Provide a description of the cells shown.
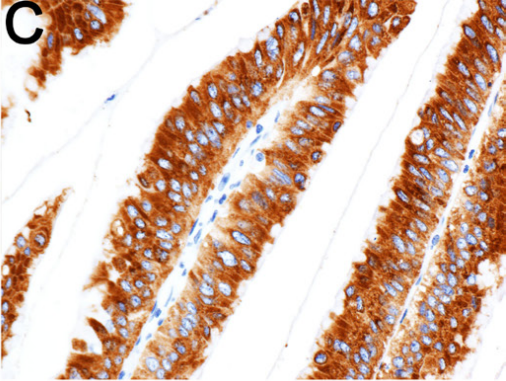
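Tumor cells line elongated papillae with slender stromal cores, as tall columnar cells in a crowded, stratified layer. The cytoplasm of the lining cells is intensely brown throughout. The oval nuclei are pale blue and stand out against the brown cytoplasm, and the thin stroma between the layers is unstained.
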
